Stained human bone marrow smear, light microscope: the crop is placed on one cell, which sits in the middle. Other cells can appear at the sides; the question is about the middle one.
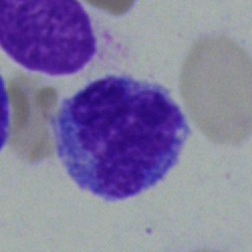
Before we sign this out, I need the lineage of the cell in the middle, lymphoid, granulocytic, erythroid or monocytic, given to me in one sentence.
The cell in the middle of the crop is sorted into the monocytic lineage.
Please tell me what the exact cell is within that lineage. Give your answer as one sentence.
The cell nearest the centre of this crop is a monocyte.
